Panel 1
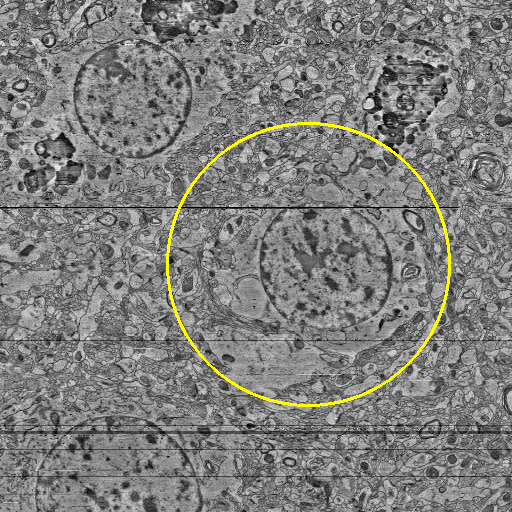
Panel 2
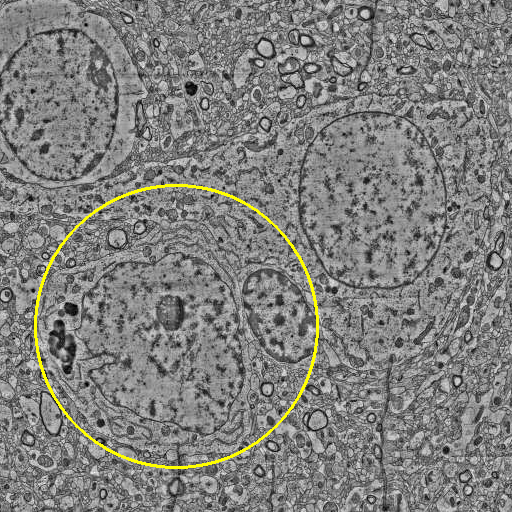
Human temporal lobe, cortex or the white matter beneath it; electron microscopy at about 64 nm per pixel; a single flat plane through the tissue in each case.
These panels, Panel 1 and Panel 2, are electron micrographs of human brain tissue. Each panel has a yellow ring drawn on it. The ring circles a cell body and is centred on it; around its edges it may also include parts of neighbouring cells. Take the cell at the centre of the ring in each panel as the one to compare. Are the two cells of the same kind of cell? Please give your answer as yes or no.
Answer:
no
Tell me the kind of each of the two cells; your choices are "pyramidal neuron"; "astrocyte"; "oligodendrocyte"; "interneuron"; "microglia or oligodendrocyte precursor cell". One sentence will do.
The ringed cell is an astrocyte in the first picture and an interneuron in the second picture.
